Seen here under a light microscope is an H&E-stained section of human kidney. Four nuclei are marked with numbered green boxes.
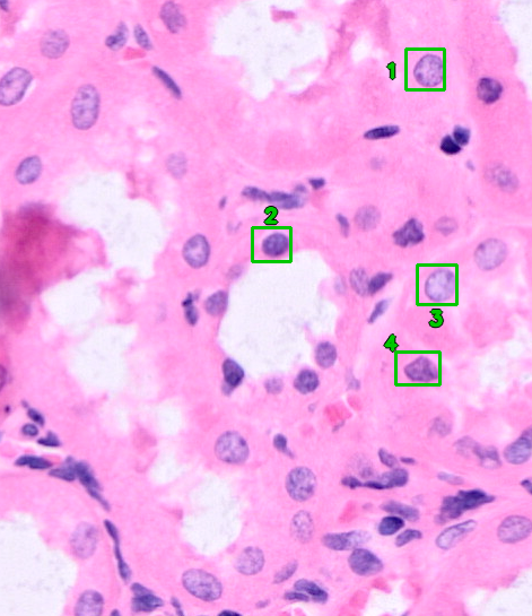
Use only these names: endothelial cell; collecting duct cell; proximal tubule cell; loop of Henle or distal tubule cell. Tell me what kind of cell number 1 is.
proximal tubule cell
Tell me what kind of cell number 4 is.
proximal tubule cell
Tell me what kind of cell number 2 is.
loop of Henle or distal tubule cell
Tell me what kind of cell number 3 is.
proximal tubule cell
